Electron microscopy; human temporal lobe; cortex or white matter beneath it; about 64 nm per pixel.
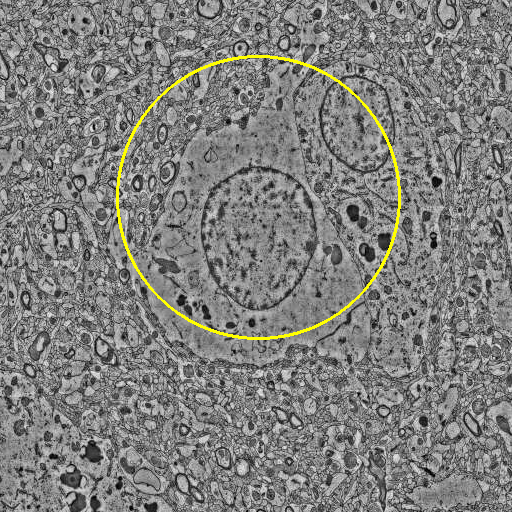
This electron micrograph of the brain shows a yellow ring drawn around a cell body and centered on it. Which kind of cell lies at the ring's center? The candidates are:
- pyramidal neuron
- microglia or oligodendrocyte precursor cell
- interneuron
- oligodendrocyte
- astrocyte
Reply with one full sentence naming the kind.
The cell lying at the ring's center in this micrograph is an astrocyte.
